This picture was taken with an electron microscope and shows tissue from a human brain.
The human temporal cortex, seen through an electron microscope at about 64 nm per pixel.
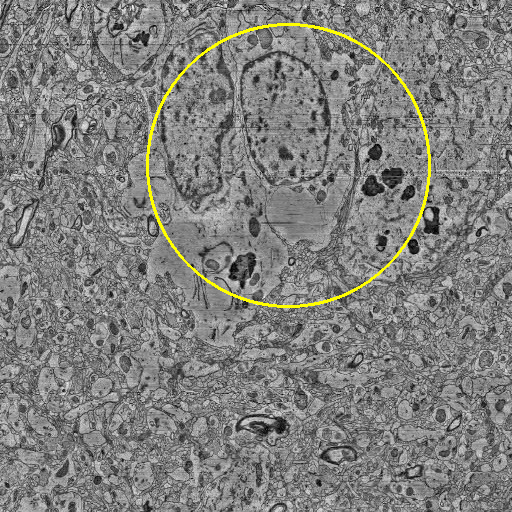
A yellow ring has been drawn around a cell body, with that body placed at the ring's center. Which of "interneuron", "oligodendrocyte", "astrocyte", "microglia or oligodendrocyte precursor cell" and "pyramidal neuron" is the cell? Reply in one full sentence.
In this picture, an astrocyte is the cell at the center of the yellow ring.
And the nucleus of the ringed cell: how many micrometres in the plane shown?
Approximately 9 micrometres long and 6 micrometres wide, so clearly longer than it is wide in this plane.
